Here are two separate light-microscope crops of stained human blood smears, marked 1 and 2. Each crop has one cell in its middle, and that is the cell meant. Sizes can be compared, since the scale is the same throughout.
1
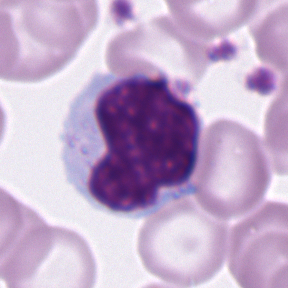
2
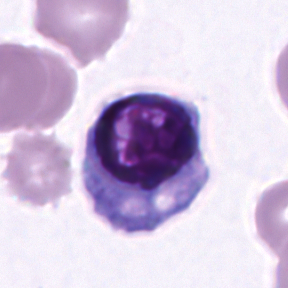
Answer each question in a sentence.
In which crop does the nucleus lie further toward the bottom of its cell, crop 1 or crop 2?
The nucleus in crop 1 lies further toward the bottom of its cell.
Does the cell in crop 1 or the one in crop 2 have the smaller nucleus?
Smaller is the nucleus in crop 2, and the other is about 1.5 times as large in area.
